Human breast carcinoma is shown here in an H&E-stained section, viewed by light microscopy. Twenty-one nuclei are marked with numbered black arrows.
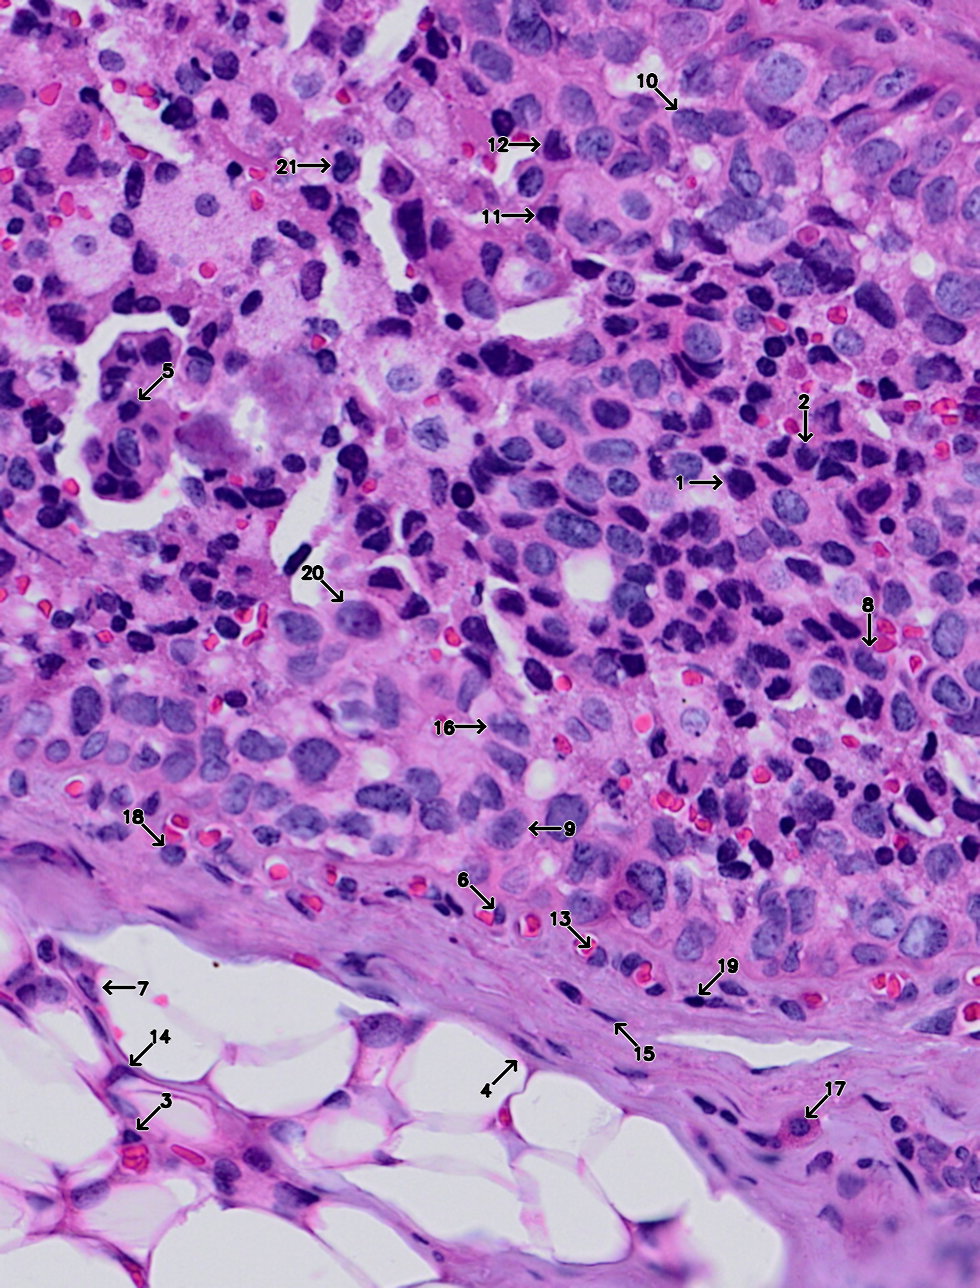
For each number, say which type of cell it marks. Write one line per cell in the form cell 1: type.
cell 1: carcinoma cell
cell 2: carcinoma cell
cell 3: endothelial cell
cell 4: fibroblast
cell 5: carcinoma cell
cell 6: endothelial cell
cell 7: endothelial cell
cell 8: carcinoma cell
cell 9: carcinoma cell
cell 10: carcinoma cell
cell 11: carcinoma cell
cell 12: carcinoma cell
cell 13: endothelial cell
cell 14: endothelial cell
cell 15: fibroblast
cell 16: carcinoma cell
cell 17: mast cell
cell 18: endothelial cell
cell 19: lymphocyte
cell 20: carcinoma cell
cell 21: carcinoma cell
